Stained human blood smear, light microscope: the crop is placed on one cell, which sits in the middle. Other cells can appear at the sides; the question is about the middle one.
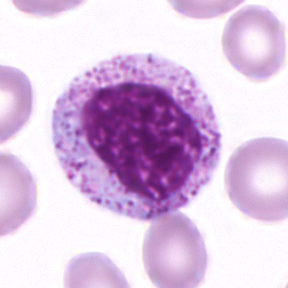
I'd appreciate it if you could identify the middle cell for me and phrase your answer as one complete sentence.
Classified as a metamyelocyte is the cell in the middle of this crop.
